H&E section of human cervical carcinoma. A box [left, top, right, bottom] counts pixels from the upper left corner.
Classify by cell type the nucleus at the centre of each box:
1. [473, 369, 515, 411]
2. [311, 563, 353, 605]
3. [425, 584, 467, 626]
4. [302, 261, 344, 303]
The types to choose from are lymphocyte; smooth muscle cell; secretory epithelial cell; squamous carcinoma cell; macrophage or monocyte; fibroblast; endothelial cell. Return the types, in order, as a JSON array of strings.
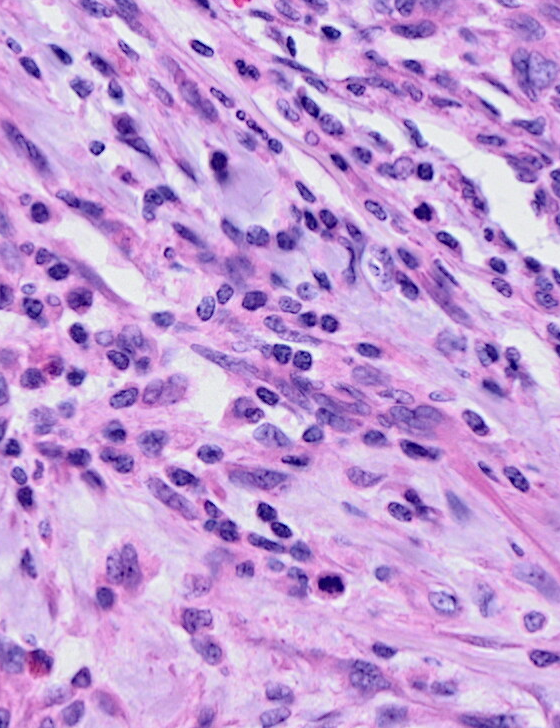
["lymphocyte", "lymphocyte", "endothelial cell", "lymphocyte"]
